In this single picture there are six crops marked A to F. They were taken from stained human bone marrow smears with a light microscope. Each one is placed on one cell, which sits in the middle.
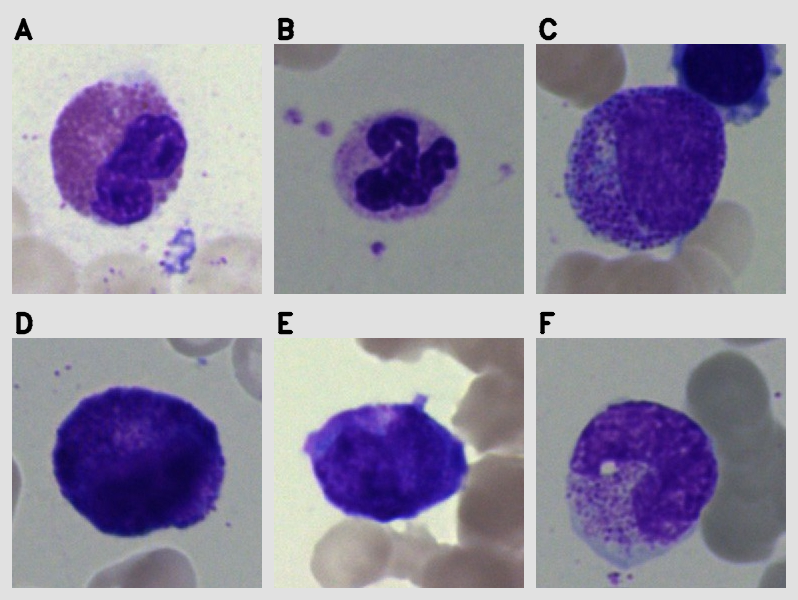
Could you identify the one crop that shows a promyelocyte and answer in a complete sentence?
Among the crops given, only crop D shows a promyelocyte.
